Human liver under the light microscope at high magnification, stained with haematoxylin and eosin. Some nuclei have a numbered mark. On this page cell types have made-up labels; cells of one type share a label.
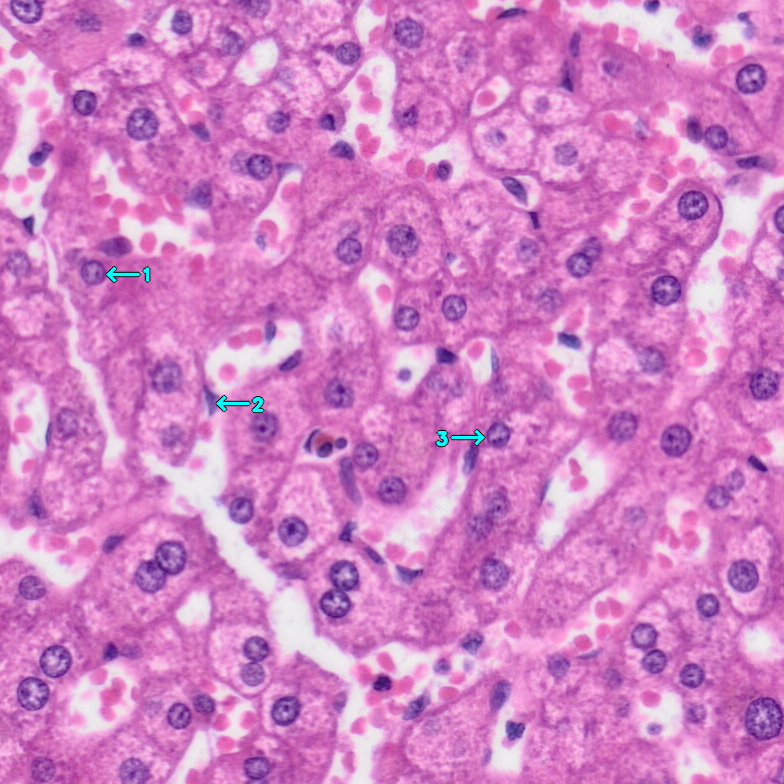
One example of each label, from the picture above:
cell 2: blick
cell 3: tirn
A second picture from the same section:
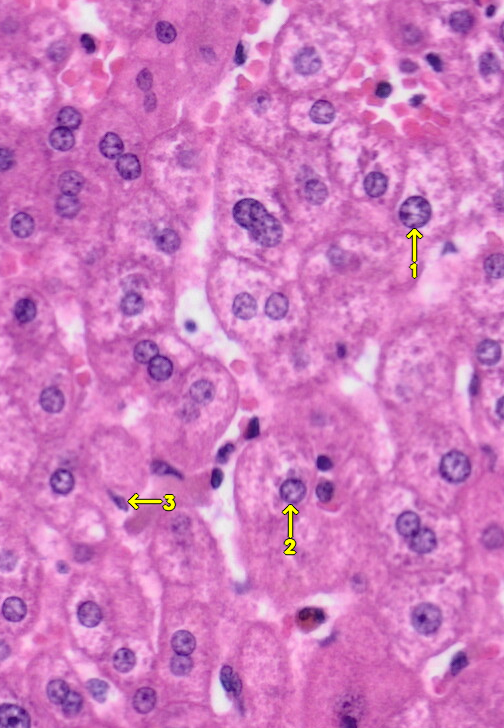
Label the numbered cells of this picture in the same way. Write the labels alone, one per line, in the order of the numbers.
tirn
tirn
blick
